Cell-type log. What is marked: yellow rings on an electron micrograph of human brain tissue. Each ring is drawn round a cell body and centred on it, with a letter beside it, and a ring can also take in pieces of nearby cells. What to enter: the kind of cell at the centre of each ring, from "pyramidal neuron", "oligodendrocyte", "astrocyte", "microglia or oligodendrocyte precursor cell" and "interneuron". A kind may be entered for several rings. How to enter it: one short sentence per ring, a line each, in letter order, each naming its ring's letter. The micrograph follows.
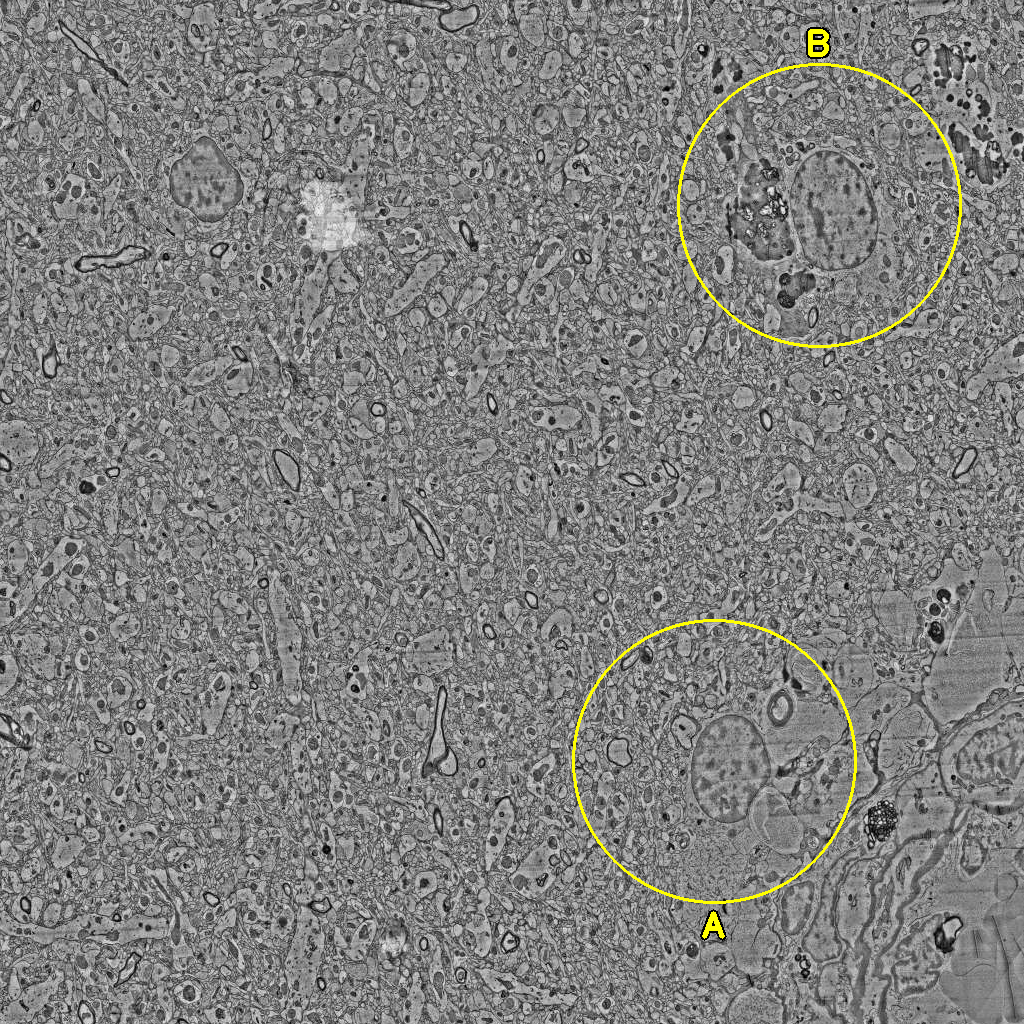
For ring A, the centre cell is an oligodendrocyte.
For ring B, the centre cell is an astrocyte.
